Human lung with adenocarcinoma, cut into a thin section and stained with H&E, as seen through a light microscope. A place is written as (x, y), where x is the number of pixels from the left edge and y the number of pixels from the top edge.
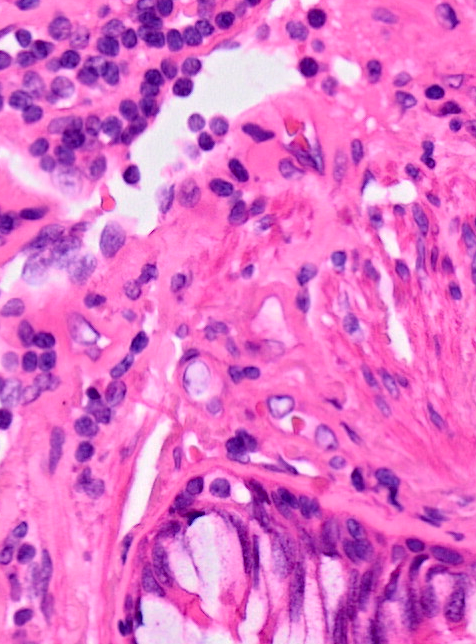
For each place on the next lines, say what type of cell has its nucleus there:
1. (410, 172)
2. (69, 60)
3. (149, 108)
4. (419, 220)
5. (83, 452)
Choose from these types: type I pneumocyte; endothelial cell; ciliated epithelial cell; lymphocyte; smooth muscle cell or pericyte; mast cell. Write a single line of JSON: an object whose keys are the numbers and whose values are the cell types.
{"1": "smooth muscle cell or pericyte", "2": "lymphocyte", "3": "lymphocyte", "4": "smooth muscle cell or pericyte", "5": "lymphocyte"}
